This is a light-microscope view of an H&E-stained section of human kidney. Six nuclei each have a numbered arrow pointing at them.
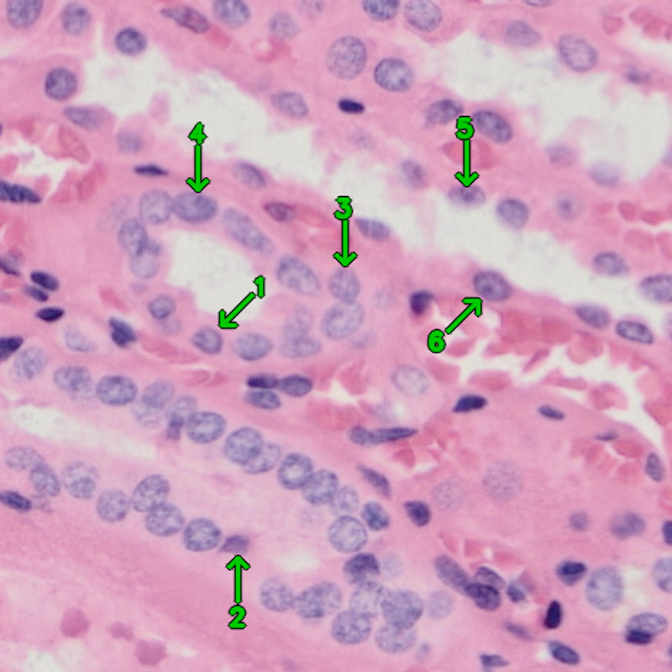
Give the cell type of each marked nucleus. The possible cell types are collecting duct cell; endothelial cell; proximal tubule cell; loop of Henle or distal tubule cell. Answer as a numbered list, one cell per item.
1. collecting duct cell
2. collecting duct cell
3. collecting duct cell
4. collecting duct cell
5. loop of Henle or distal tubule cell
6. loop of Henle or distal tubule cell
